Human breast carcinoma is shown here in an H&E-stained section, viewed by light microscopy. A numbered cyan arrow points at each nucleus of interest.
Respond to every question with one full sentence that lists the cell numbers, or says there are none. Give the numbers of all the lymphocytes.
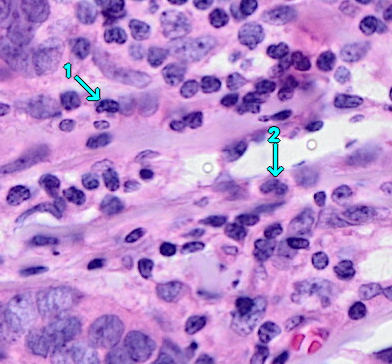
Cell 1 is a lymphocyte, while all remaining marked cells are of other types.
